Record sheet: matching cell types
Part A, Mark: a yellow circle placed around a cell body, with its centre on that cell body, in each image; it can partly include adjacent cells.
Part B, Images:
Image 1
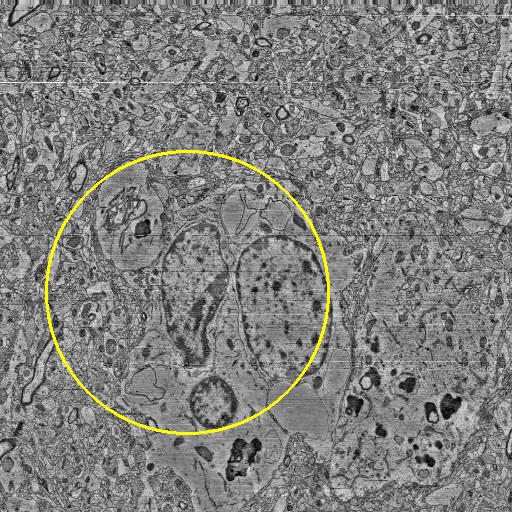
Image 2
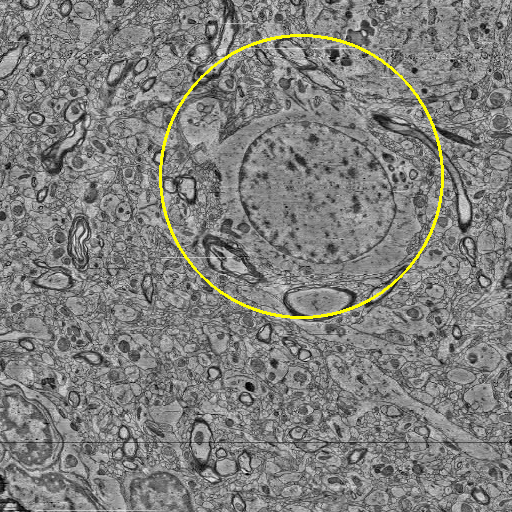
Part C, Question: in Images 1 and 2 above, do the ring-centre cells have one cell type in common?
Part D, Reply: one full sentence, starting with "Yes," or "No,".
No, the ring-centre cells of Image 1 and Image 2 are each of a separate cell type.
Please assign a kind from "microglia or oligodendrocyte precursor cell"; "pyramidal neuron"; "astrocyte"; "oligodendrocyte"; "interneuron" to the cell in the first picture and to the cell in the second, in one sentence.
In the first picture we have a microglial cell or oligodendrocyte precursor cell, and in the second, an astrocyte.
